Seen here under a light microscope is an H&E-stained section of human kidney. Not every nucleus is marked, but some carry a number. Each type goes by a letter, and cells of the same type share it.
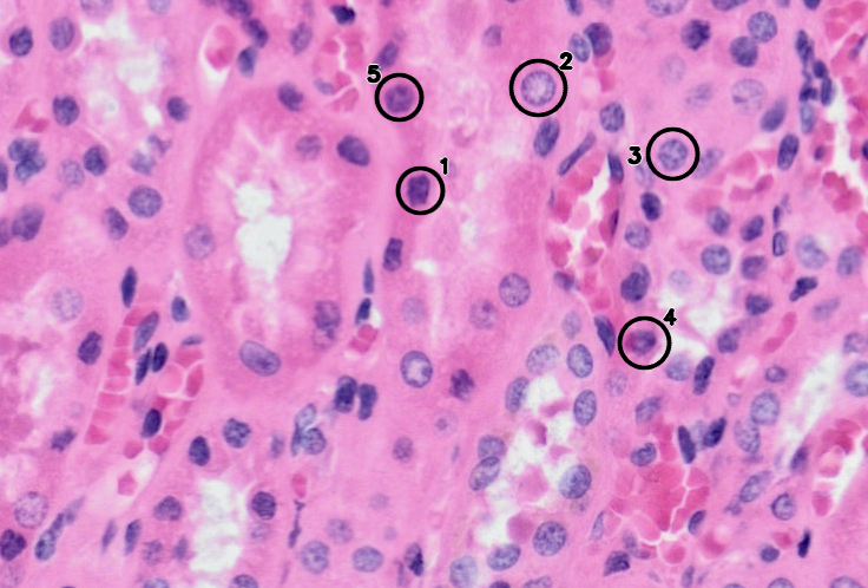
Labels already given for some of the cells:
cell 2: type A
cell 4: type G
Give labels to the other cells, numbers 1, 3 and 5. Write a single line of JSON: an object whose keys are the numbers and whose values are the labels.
{"1": "type A", "3": "type G", "5": "type A"}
